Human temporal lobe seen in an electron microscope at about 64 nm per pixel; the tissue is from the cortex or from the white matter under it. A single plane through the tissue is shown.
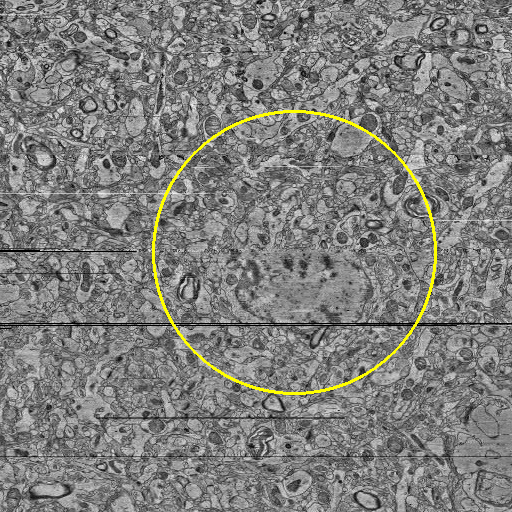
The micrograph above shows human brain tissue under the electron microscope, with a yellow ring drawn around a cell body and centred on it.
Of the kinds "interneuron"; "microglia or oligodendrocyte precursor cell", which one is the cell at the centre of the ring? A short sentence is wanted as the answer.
The one at the centre of the ring is an interneuron.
